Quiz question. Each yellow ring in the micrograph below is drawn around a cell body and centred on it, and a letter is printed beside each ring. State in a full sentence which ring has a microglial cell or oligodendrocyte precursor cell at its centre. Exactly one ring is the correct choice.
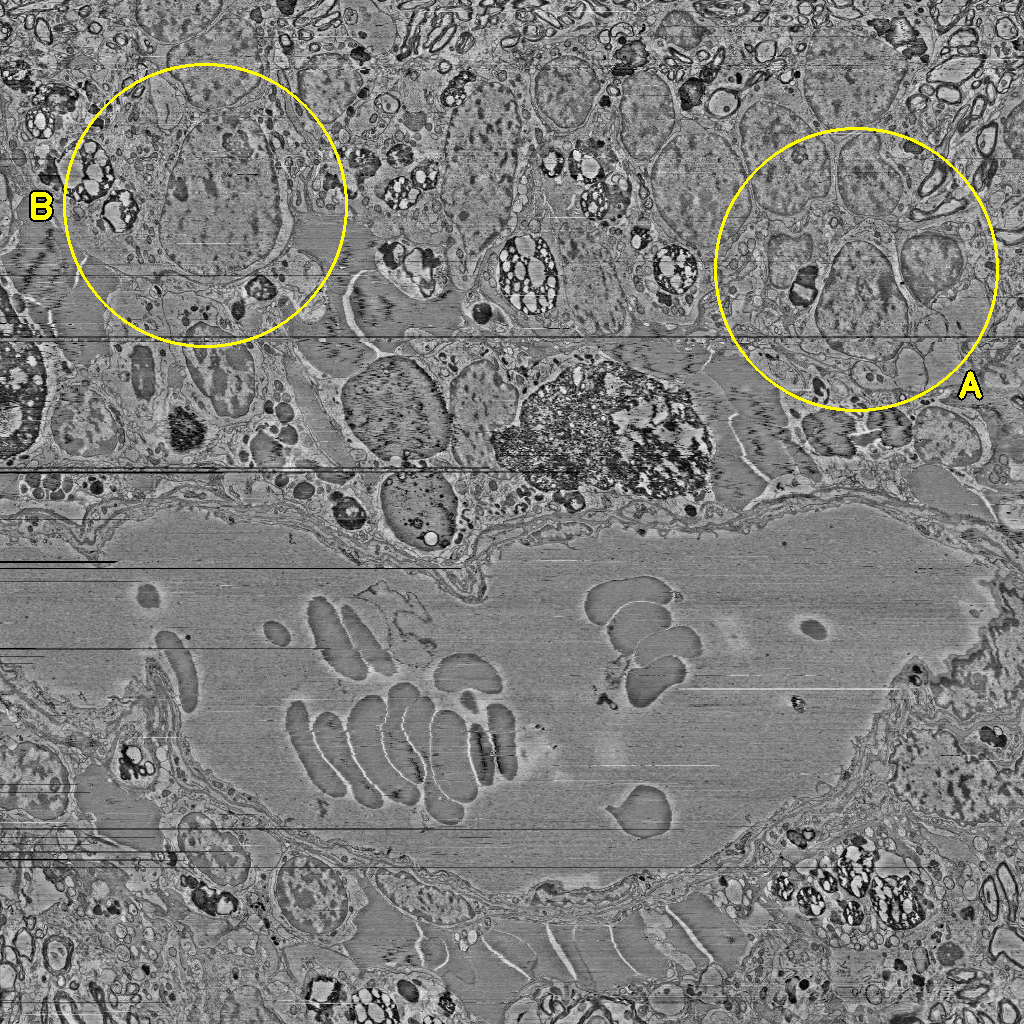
The correct ring is ring A.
